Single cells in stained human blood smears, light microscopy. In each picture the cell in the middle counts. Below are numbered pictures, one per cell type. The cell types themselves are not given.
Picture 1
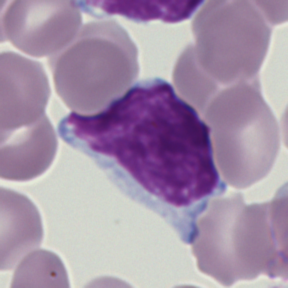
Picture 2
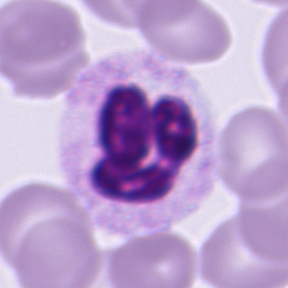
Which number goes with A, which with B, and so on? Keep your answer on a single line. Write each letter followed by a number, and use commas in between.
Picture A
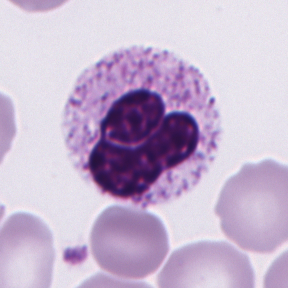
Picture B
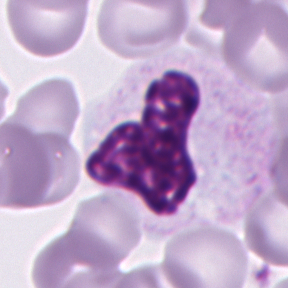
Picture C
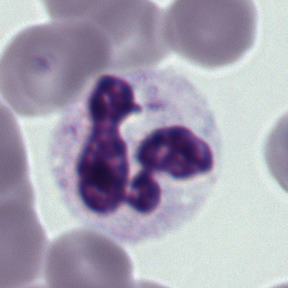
A 2, B 2, C 2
